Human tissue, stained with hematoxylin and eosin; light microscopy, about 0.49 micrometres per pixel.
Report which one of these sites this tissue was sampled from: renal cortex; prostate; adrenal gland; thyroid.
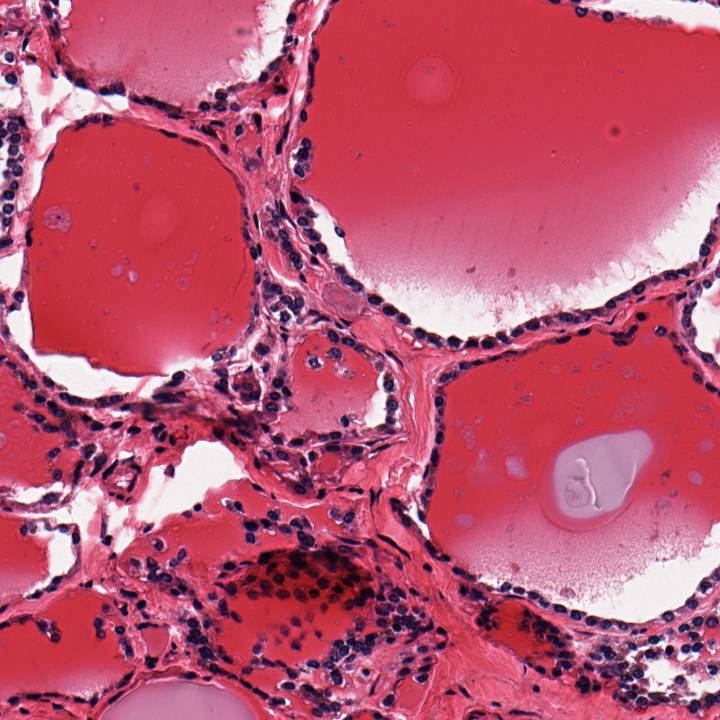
thyroid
